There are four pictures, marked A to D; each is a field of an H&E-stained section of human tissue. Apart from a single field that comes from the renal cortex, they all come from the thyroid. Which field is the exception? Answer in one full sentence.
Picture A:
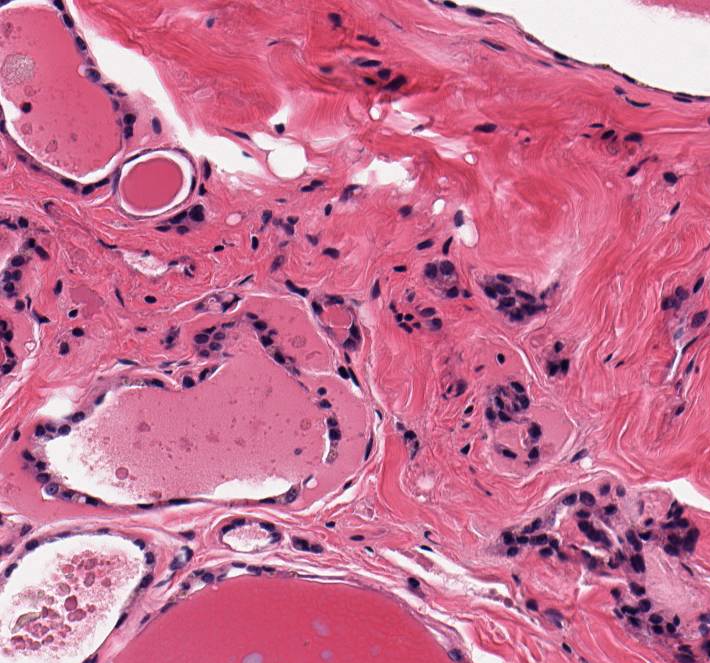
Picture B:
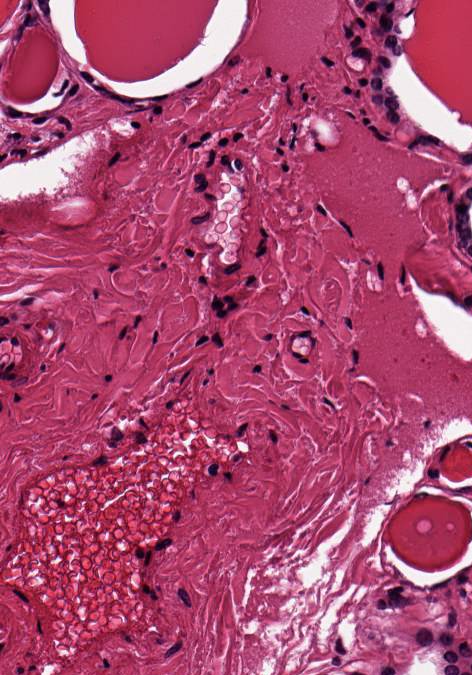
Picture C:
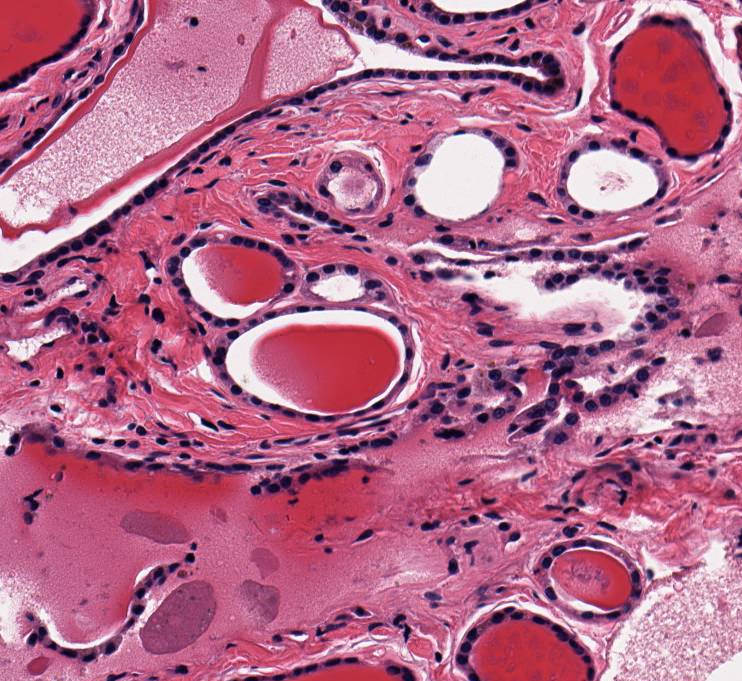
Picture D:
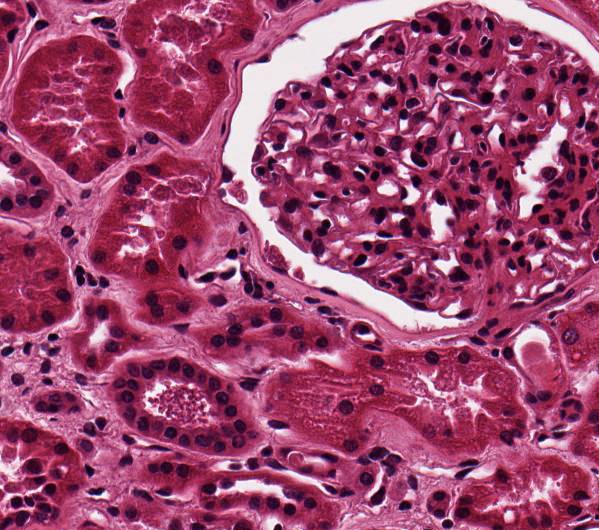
The one that comes from the renal cortex is picture D.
